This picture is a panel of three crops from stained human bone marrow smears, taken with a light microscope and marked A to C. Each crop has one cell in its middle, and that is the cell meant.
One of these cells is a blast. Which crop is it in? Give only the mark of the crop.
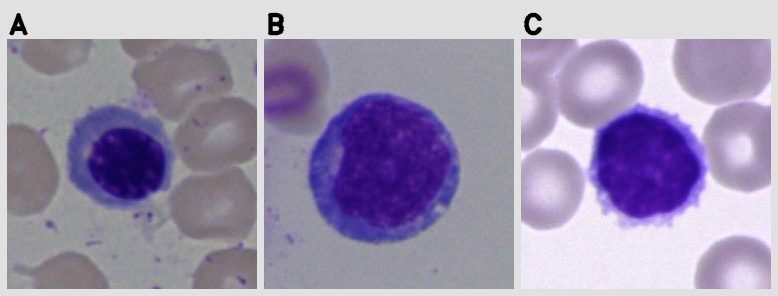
B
